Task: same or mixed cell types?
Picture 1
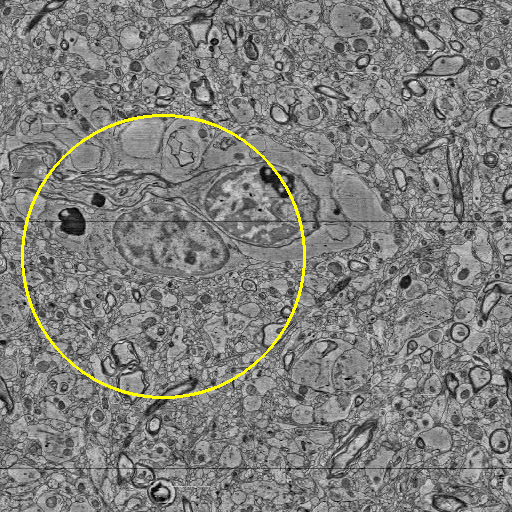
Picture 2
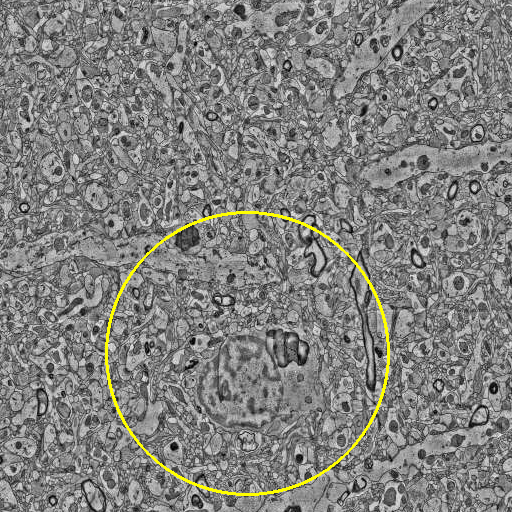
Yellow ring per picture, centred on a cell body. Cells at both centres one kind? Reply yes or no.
yes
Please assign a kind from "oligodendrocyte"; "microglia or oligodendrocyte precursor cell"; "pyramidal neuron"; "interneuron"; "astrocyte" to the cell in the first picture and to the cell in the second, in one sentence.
In each of the two pictures, the ringed cell is an oligodendrocyte.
